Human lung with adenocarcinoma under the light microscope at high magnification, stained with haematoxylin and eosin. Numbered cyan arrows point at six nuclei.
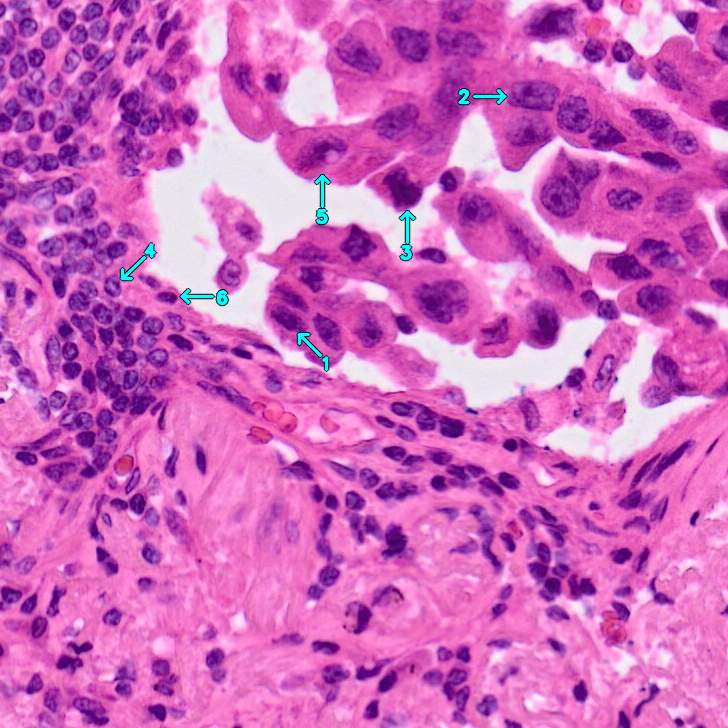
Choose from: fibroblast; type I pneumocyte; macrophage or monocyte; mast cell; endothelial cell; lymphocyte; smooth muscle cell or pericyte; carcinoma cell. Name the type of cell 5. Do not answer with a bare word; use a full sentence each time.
Cell 5, as marked in the section, is a carcinoma cell.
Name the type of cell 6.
The nucleus labeled 6 belongs to a lymphocyte.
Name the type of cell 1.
The cell to which the number 1 is assigned is a carcinoma cell.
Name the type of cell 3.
The cell to which the number 3 is assigned is a carcinoma cell.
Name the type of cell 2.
Looking at the numbered marks, cell 2 is a carcinoma cell.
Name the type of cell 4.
The cell indicated by marker 4 is a lymphocyte in this section.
